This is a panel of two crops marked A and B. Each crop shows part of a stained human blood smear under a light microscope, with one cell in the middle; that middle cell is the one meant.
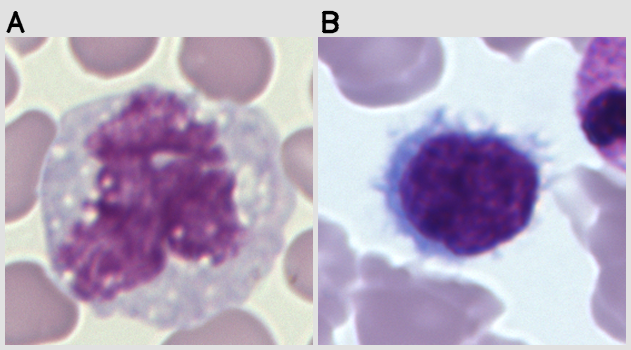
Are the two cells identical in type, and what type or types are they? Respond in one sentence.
No, while a monocyte is found in crop A, a hairy cell is found in crop B.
